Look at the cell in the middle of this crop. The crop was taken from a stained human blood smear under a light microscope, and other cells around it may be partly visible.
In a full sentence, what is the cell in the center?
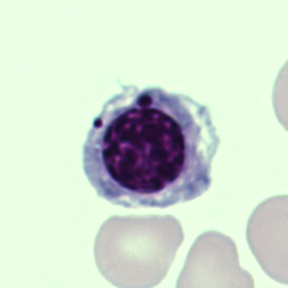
The middle cell in this particular crop is an erythroblast.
